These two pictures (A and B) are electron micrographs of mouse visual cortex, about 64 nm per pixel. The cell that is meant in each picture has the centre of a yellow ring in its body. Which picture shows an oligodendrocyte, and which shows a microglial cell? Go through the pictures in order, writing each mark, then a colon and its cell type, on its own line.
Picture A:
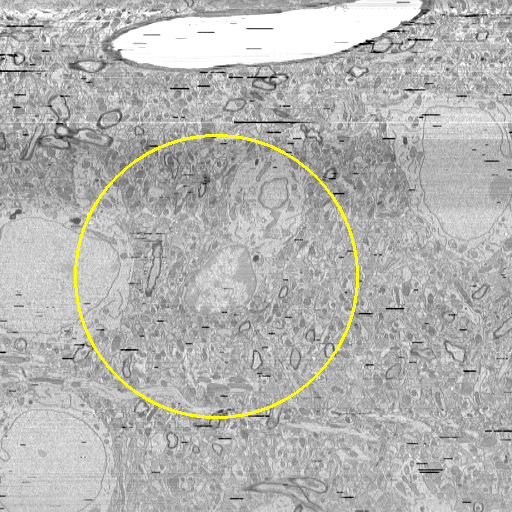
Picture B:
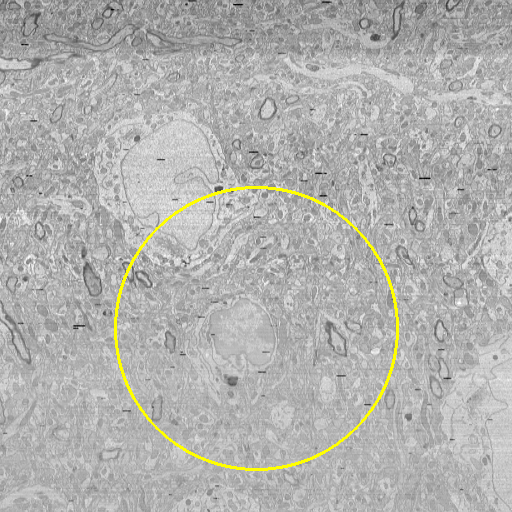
A: oligodendrocyte
B: microglial cell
